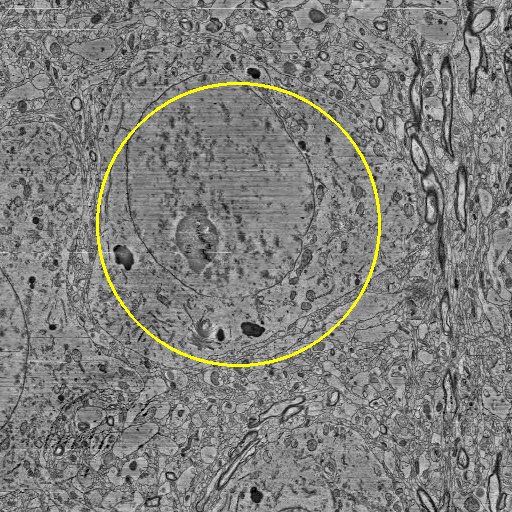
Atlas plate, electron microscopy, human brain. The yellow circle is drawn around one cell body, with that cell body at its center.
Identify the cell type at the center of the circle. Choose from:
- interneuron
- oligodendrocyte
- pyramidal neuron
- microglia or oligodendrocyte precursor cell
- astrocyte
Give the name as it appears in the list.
pyramidal neuron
